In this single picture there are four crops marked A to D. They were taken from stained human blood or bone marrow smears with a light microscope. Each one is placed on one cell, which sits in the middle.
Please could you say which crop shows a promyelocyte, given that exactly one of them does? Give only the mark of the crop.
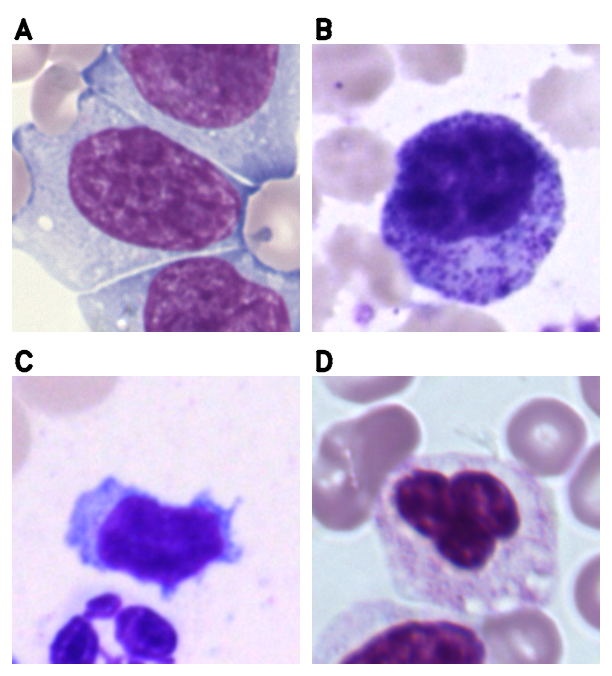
B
